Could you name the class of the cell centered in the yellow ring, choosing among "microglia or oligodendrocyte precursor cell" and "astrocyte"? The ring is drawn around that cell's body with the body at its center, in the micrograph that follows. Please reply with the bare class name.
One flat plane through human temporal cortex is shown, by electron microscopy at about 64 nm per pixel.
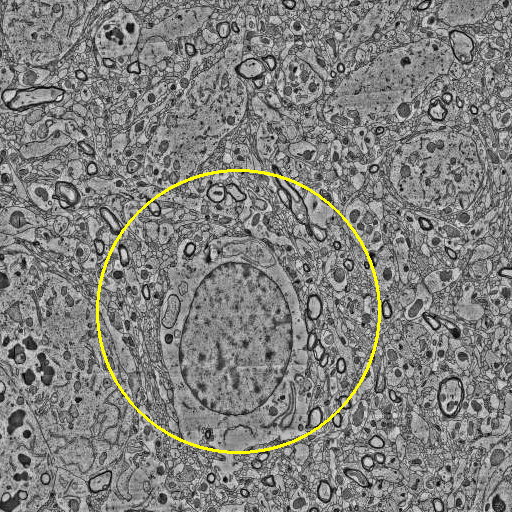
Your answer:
astrocyte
